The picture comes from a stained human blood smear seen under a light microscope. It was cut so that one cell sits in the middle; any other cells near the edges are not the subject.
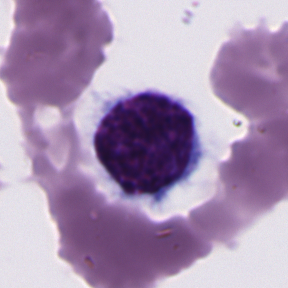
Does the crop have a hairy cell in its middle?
yes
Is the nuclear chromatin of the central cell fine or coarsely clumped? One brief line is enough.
The chromatin of this one is coarsely clumped.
